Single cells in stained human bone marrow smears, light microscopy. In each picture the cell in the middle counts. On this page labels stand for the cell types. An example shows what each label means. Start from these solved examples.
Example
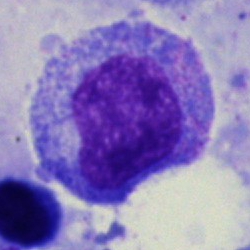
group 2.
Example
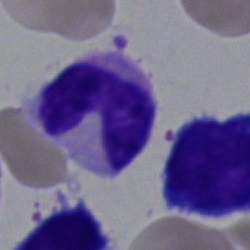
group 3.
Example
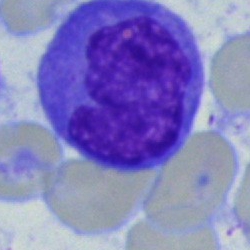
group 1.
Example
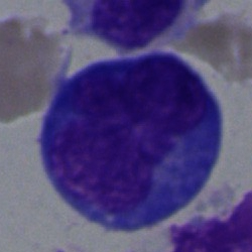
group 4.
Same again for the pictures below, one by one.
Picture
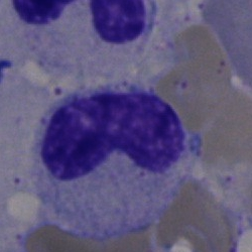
group 3.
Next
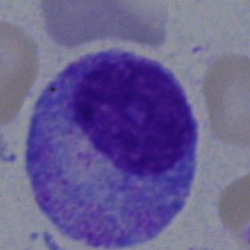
group 2.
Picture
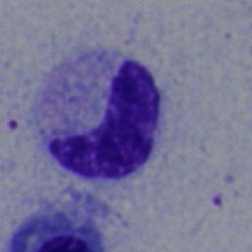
group 3.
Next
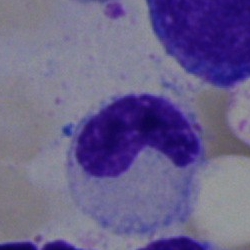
group 3.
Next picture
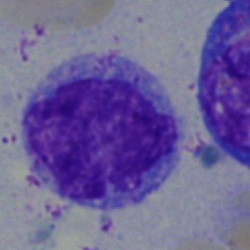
group 1.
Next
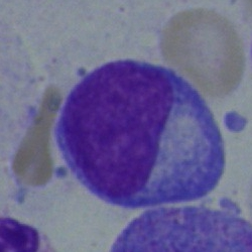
group 4.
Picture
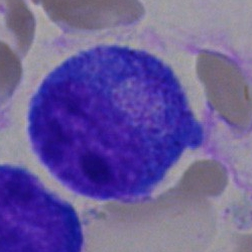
group 2.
